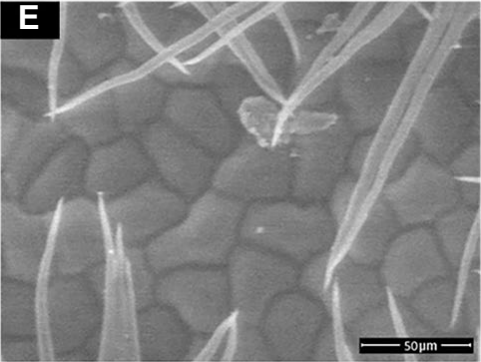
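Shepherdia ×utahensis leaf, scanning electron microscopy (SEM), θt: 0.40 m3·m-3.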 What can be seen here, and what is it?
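This is a close view of leaf epidermal cells with arms of trichomes lying over them. The epidermal cells are polygonal, tightly packed and have smooth, slightly domed outer surfaces with distinct boundaries between neighbours. Long, narrow, tapering hair-like arms cross the surface, some resting flat on the cells. A small flake of debris lies on the surface near the centre.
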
